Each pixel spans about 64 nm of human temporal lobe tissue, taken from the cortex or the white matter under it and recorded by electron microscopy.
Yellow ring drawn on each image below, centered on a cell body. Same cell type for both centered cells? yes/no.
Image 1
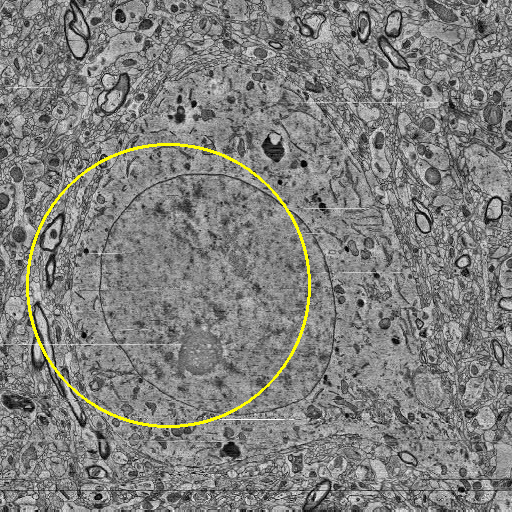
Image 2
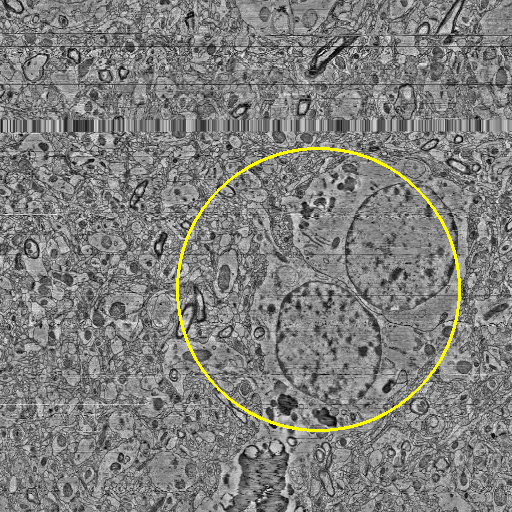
no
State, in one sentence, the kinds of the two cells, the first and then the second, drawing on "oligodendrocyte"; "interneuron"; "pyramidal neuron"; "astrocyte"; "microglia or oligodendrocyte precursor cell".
The ring in the second picture is centred on an astrocyte, the ring in the first on a pyramidal neuron.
